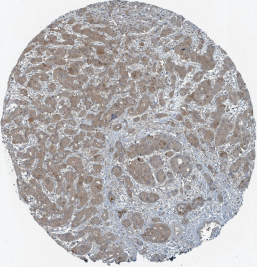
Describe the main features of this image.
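Irregular nests, cords and gland-like groups of epithelial cells are set in paler fibrous stroma. The tumor cells have brown-stained cytoplasm. The stroma between them is lighter and bluish, with scattered nuclei.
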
